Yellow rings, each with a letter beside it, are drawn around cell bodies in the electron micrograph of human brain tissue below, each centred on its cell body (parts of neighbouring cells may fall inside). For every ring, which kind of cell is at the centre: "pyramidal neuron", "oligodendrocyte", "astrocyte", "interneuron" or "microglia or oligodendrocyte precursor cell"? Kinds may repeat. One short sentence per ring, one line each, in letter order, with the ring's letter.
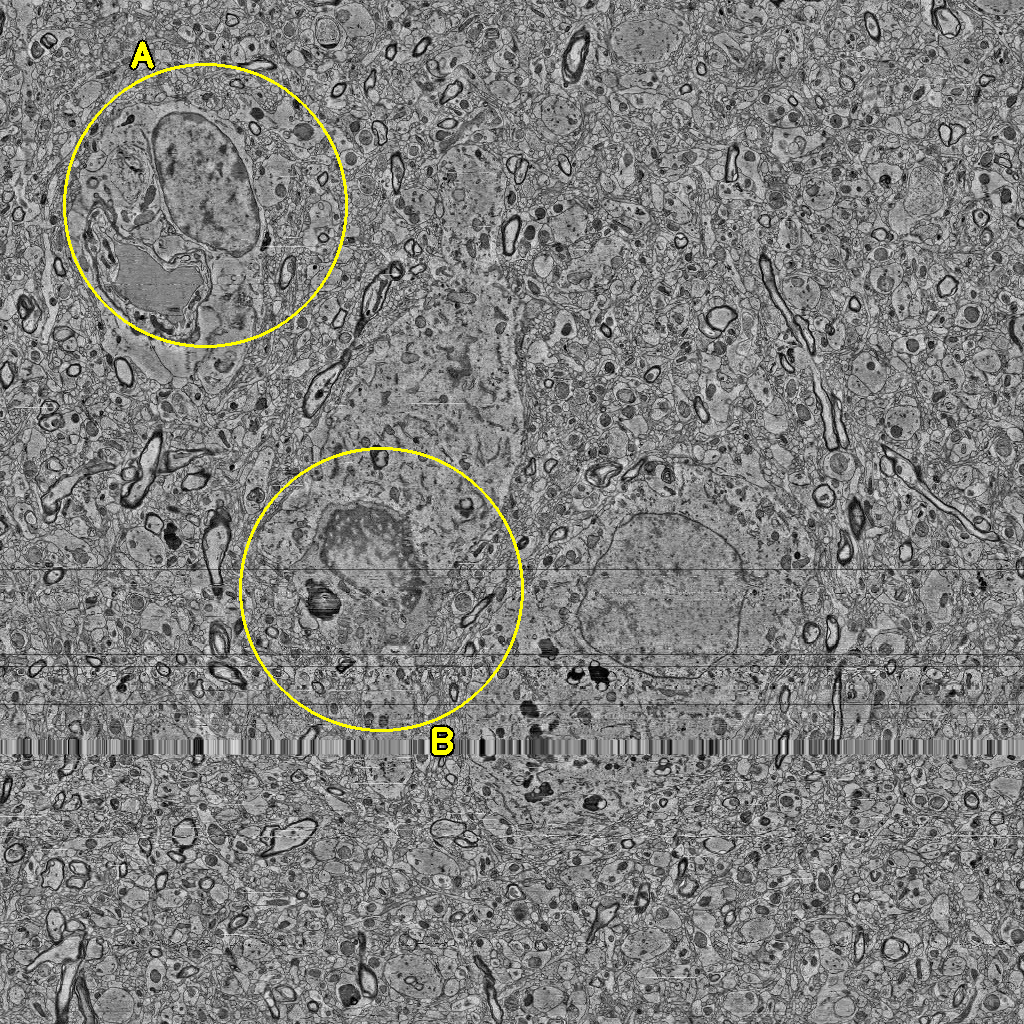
The cell in ring A is a microglial cell or oligodendrocyte precursor cell.
The cell in ring B is an oligodendrocyte.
